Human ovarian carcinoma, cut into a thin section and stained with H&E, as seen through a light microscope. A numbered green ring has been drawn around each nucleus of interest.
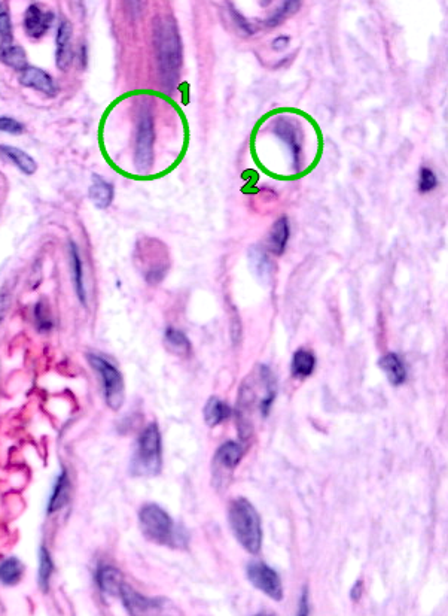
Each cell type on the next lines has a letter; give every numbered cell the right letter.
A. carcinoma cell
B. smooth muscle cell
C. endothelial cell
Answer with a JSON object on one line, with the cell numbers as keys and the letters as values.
{"1": "B", "2": "C"}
